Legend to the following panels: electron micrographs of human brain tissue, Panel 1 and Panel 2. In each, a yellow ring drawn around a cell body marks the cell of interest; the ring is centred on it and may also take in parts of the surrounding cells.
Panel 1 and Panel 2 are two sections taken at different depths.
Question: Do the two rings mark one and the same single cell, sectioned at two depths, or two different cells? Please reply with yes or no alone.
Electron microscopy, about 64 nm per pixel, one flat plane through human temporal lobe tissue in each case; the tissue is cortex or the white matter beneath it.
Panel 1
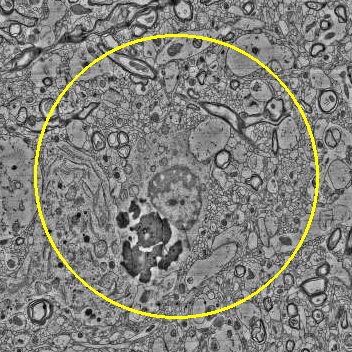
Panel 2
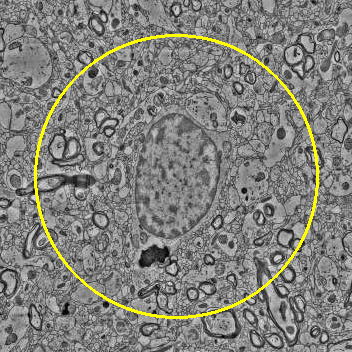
no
